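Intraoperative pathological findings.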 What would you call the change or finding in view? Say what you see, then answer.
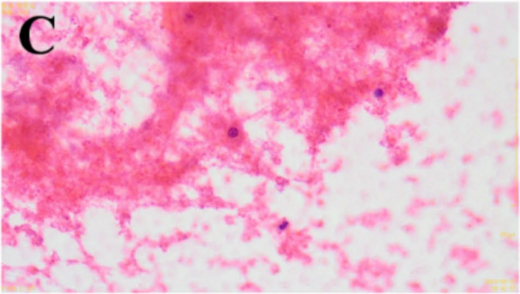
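Dense clumped pink-red material fills much of the field. Only a few scattered small dark nuclei lie within it. That points to this answer: bloody background.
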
